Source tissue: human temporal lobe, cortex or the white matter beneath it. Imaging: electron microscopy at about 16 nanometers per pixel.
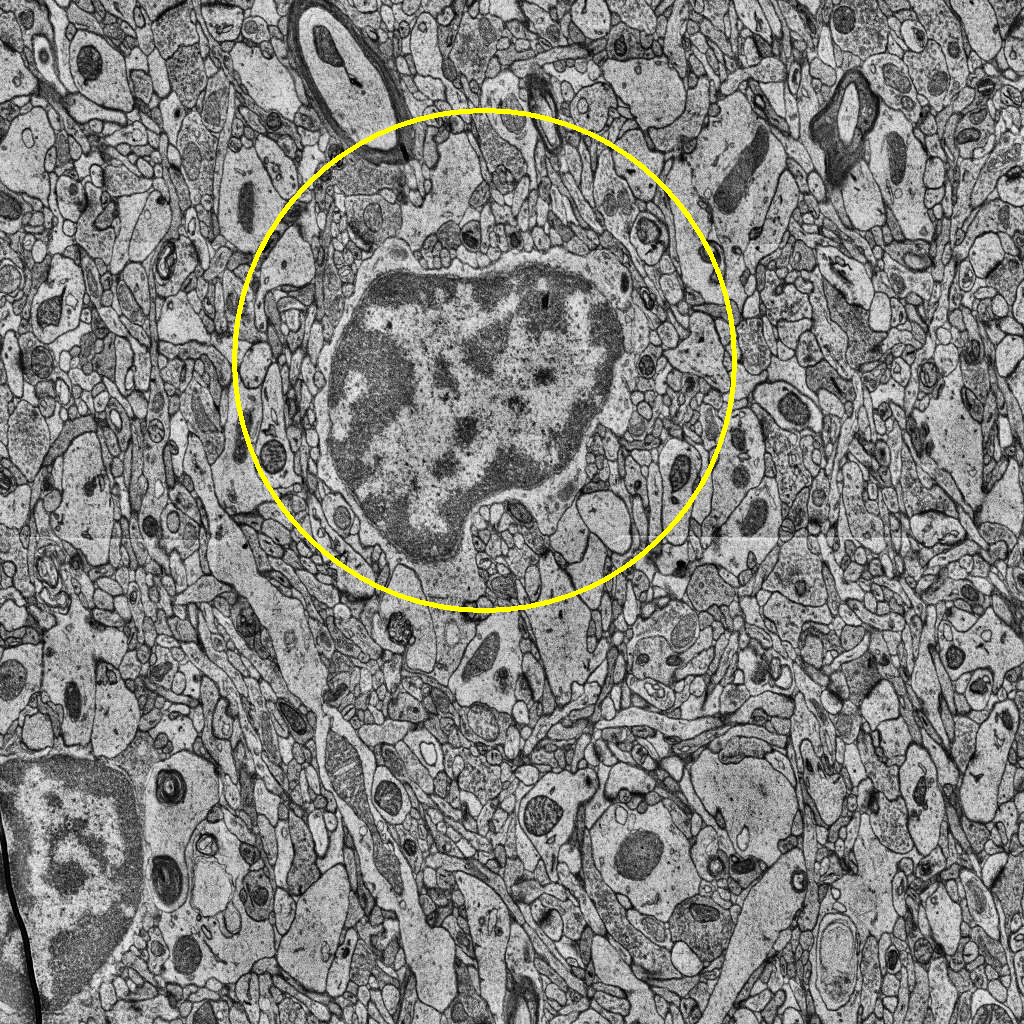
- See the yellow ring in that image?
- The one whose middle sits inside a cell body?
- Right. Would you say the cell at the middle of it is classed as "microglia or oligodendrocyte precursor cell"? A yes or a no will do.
yes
